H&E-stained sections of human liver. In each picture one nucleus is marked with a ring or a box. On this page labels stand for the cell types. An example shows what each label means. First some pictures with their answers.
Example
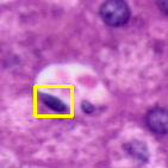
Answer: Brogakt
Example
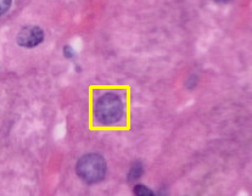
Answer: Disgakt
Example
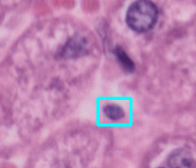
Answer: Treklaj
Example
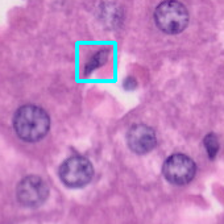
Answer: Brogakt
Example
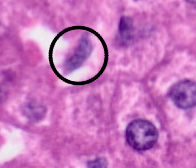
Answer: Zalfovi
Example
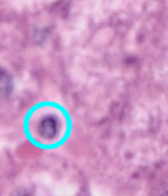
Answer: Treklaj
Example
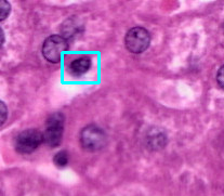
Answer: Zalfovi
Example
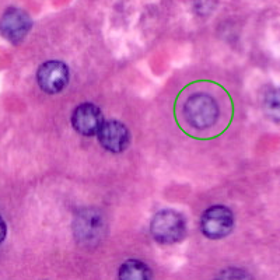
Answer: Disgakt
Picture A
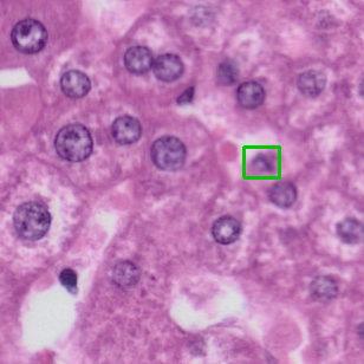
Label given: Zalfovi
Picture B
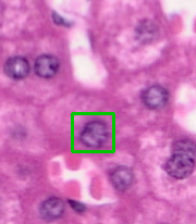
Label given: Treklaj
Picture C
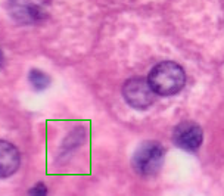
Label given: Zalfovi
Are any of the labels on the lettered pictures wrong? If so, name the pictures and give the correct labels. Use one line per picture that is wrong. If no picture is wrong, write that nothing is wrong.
Wrong: B (Treklaj); correct: Disgakt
